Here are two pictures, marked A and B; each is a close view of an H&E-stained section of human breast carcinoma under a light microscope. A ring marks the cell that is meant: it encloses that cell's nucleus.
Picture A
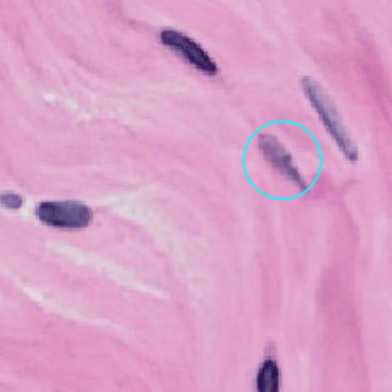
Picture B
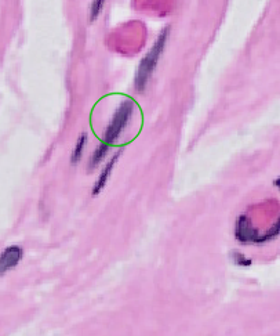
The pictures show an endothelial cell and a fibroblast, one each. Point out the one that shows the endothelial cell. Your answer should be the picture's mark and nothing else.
B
